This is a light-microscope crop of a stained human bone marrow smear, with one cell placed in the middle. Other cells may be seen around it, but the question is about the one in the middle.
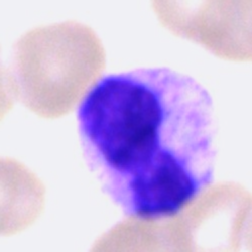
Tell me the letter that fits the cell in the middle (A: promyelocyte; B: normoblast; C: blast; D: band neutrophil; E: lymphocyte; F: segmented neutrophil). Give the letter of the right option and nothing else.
F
